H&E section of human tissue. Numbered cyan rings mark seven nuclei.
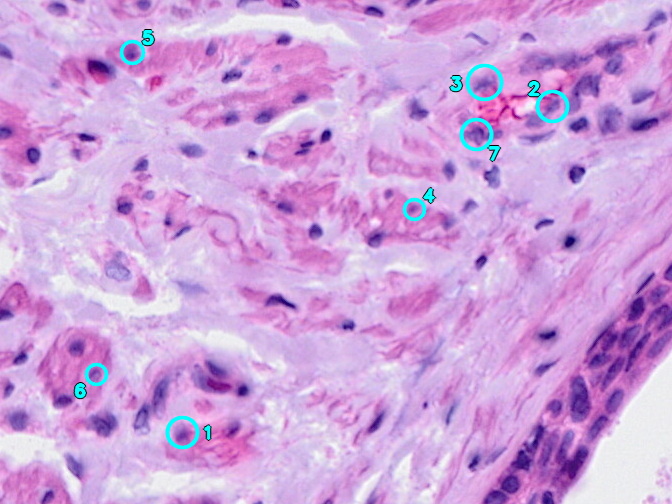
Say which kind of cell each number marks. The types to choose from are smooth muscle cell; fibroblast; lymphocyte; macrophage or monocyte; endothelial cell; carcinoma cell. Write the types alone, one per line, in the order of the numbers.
smooth muscle cell
endothelial cell
endothelial cell
smooth muscle cell
smooth muscle cell
smooth muscle cell
endothelial cell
